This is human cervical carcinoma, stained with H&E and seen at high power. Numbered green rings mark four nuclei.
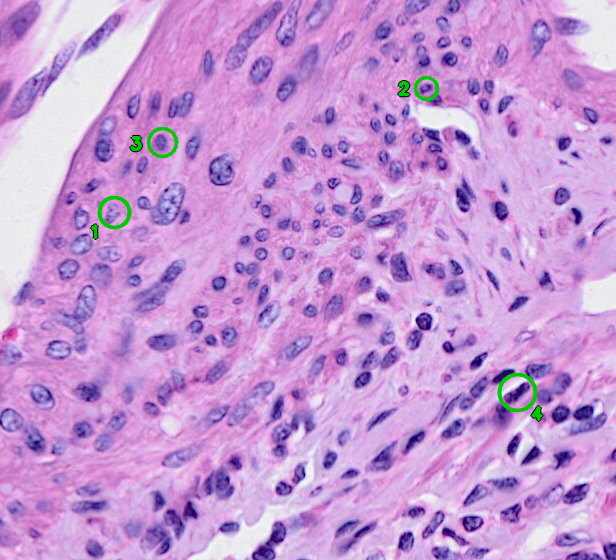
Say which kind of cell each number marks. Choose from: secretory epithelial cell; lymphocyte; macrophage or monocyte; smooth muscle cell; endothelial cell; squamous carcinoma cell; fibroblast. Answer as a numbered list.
1. smooth muscle cell
2. smooth muscle cell
3. smooth muscle cell
4. lymphocyte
